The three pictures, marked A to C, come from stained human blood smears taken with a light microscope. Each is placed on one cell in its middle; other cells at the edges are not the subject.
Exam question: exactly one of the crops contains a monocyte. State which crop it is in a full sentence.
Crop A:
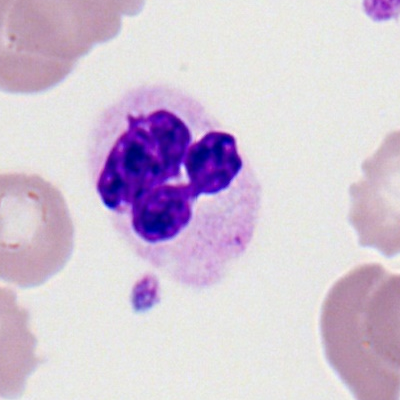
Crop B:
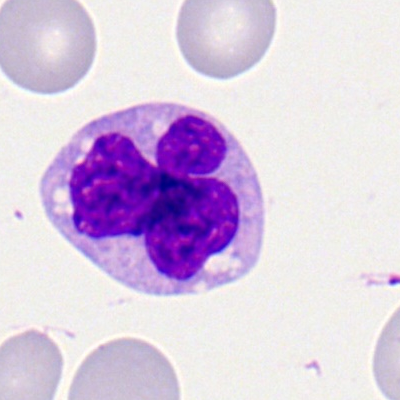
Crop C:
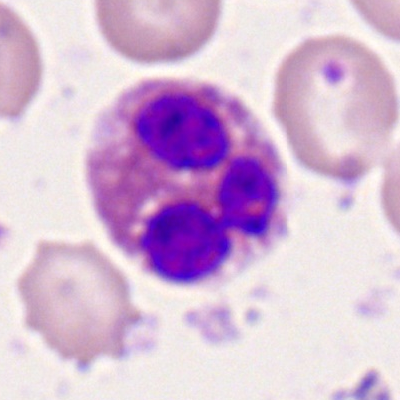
The sole crop showing a monocyte is crop B.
